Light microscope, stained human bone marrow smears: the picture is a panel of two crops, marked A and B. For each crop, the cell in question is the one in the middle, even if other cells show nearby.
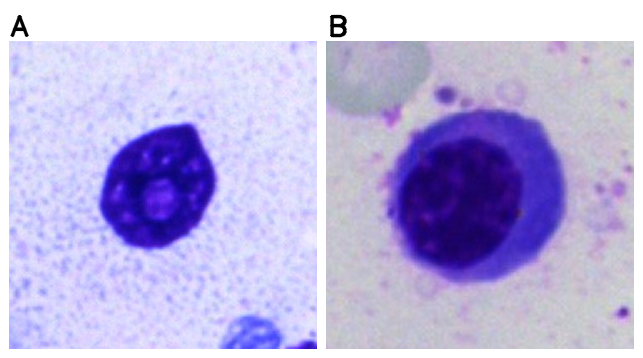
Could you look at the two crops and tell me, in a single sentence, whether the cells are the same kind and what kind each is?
No, crop A is home to a lymphocyte, and crop B to an erythroblast.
